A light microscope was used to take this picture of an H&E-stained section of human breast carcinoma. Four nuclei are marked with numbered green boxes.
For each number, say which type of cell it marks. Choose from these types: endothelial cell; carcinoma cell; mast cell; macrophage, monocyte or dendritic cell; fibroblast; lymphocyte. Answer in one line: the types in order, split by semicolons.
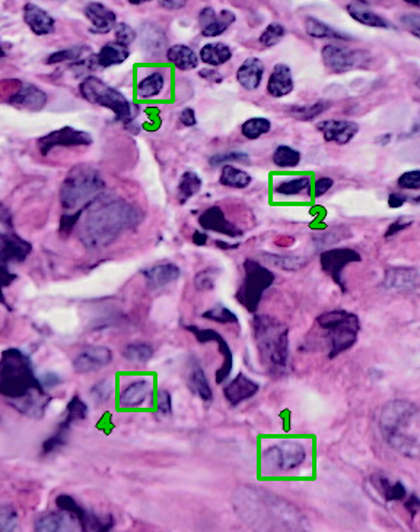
macrophage, monocyte or dendritic cell; lymphocyte; lymphocyte; endothelial cell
